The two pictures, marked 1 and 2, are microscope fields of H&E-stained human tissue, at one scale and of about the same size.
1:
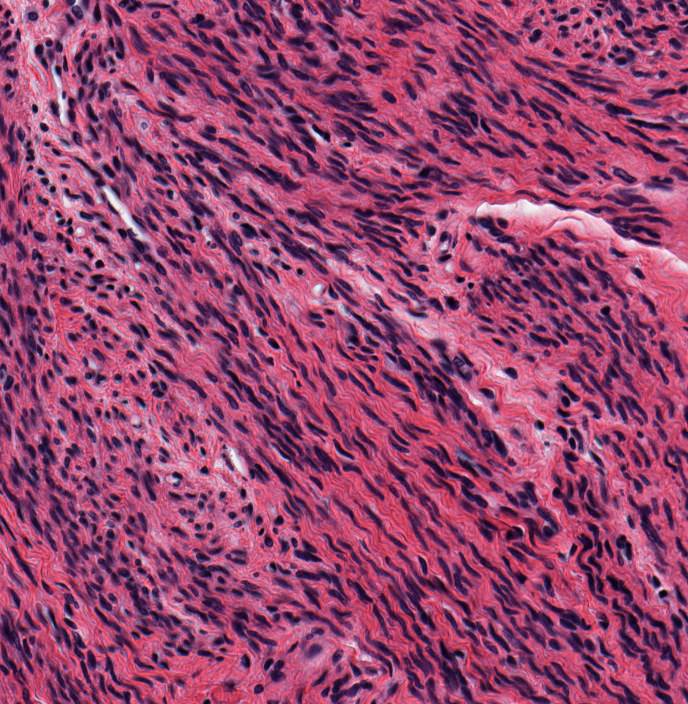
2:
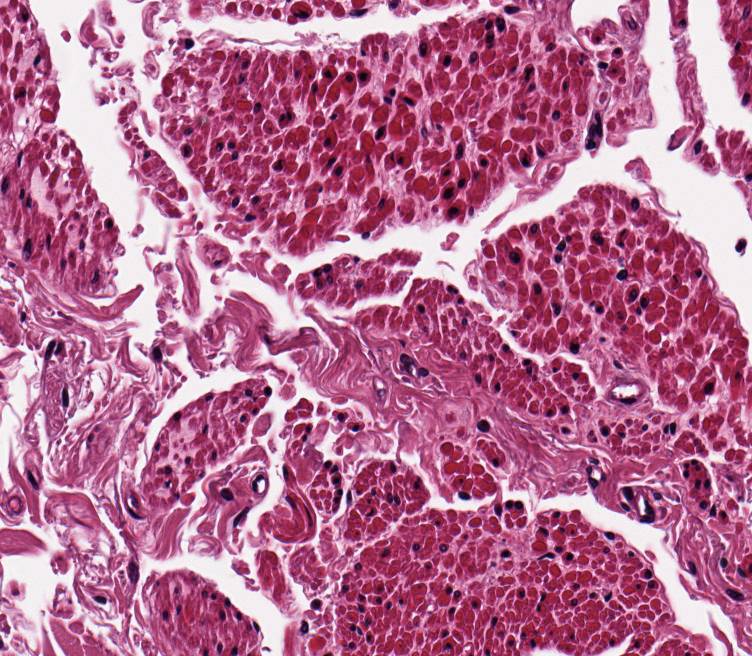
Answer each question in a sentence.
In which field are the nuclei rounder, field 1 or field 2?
Rounder nuclei lie in field 2.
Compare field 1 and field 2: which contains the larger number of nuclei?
There are more nuclei in field 1.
